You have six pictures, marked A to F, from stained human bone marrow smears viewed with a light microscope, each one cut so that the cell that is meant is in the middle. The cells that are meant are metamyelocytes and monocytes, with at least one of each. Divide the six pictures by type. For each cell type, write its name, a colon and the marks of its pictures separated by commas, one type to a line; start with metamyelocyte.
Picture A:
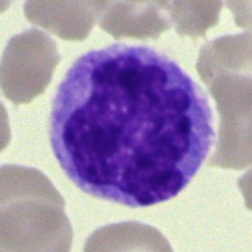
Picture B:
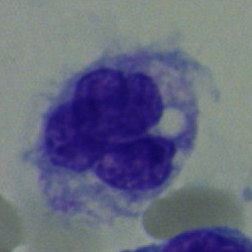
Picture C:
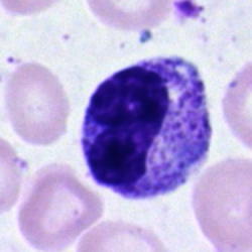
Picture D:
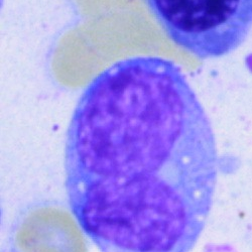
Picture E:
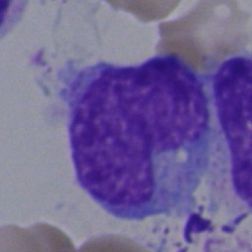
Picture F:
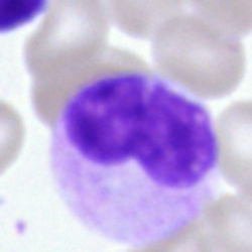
metamyelocyte: C, F
monocyte: A, B, D, E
